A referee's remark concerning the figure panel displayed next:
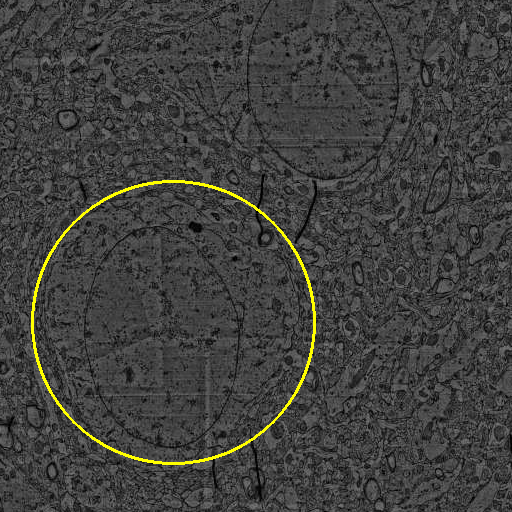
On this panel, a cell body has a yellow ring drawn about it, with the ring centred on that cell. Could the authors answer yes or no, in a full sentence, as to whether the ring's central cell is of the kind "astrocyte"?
No, the cell sitting at the middle of the ring on this panel belongs to a different kind.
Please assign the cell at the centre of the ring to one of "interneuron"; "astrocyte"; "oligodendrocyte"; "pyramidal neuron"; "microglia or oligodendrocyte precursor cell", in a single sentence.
The cell enclosed by the ring is a pyramidal neuron.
